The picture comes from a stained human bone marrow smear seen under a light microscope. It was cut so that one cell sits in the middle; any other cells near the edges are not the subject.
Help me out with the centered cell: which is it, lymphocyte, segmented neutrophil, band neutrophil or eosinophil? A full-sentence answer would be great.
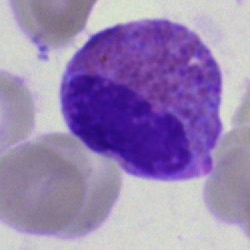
The center cell of this crop is an eosinophil.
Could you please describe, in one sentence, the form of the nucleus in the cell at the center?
A single compact nucleus, round, oval or kidney-shaped, is what this cell shows.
